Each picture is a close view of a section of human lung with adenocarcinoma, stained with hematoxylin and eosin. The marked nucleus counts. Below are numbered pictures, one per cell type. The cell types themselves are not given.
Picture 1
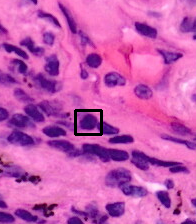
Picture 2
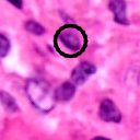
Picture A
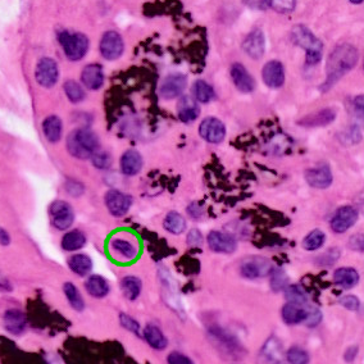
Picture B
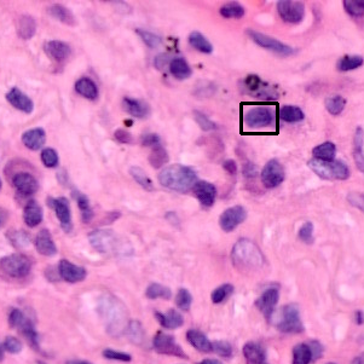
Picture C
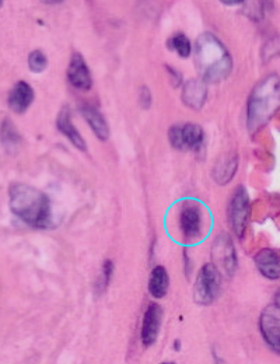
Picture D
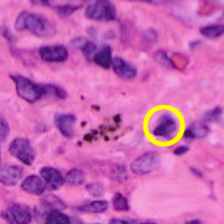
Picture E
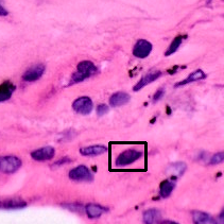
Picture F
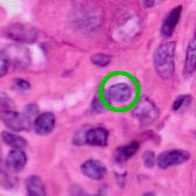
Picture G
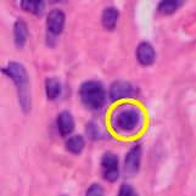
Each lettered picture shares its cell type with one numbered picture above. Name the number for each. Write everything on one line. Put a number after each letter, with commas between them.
A 1, B 1, C 2, D 1, E 2, F 1, G 1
